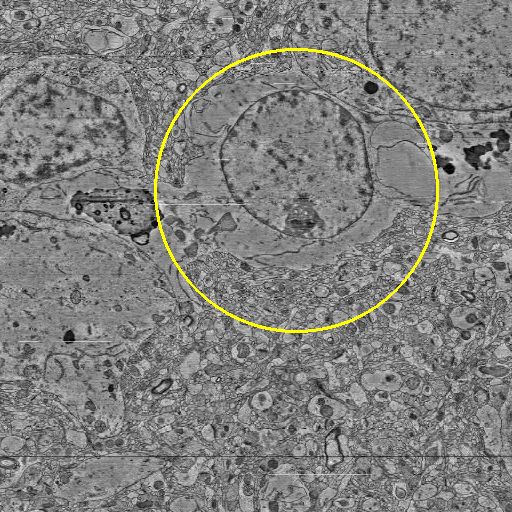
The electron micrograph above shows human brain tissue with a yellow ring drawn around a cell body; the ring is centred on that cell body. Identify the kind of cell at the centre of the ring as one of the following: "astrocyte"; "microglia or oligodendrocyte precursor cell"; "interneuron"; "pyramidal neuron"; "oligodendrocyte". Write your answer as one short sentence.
The cell at the centre of the ring is an astrocyte.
